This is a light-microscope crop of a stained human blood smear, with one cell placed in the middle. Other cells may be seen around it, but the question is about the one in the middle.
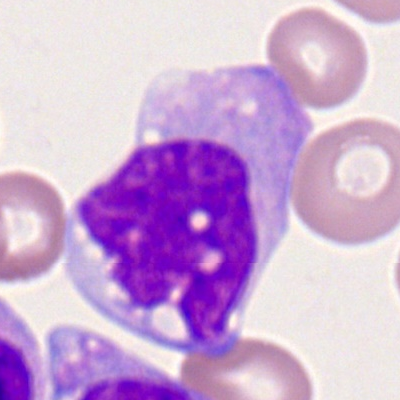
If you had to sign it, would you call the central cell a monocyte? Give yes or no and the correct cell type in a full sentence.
Yes, the cell of interest in the middle is a monocyte.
